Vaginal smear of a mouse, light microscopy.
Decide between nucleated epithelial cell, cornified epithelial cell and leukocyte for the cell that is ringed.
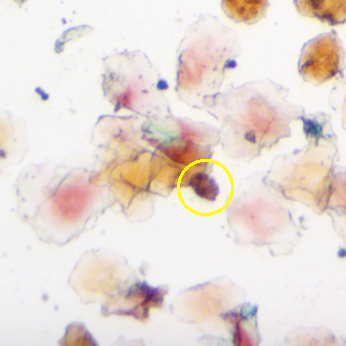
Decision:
I take the ringed cell for a nucleated epithelial cell.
